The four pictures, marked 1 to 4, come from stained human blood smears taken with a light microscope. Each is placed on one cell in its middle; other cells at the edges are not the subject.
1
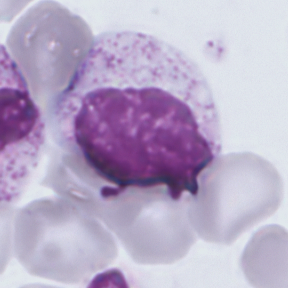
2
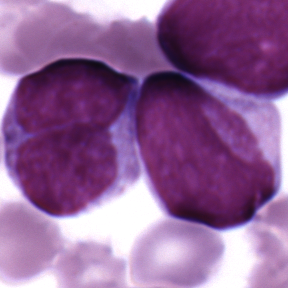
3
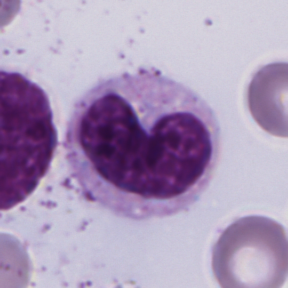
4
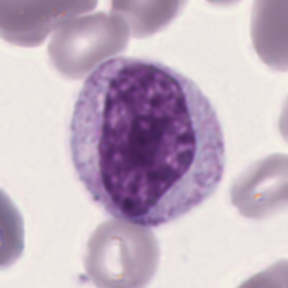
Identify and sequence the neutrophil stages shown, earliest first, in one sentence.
The order of maturity, lowest to highest, is crop 2 (a myeloblast), crop 1 (a myelocyte), crop 4 (a metamyelocyte) and crop 3 (a band neutrophil).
